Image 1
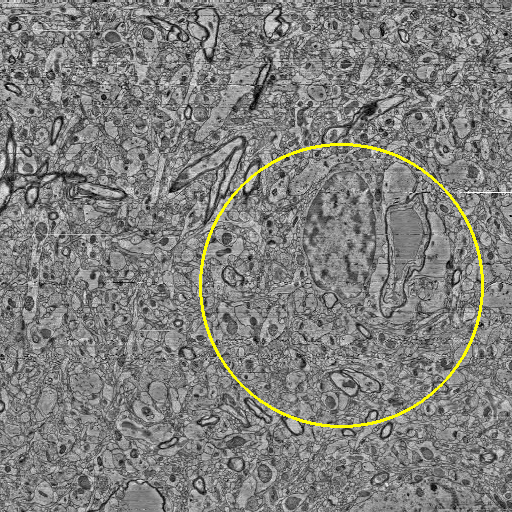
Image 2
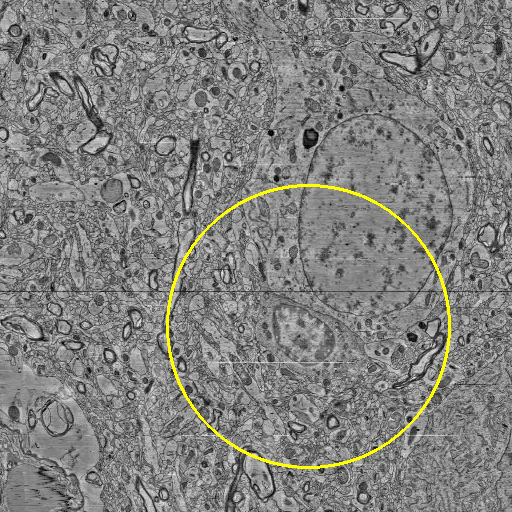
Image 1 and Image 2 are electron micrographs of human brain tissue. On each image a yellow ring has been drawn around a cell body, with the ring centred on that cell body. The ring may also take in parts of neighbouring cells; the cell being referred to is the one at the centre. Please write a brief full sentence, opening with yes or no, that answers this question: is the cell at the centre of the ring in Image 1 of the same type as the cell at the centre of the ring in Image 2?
Yes, both cells are of the same type.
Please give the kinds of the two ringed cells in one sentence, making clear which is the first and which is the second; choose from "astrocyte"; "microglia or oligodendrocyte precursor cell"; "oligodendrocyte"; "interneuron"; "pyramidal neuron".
Both cells are the same kind, each one being an oligodendrocyte.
